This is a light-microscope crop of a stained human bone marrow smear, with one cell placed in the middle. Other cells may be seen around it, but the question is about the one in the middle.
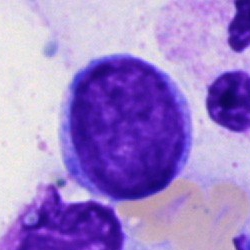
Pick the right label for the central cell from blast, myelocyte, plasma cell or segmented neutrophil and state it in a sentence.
Whatever else lies nearby, the middle cell is a blast.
